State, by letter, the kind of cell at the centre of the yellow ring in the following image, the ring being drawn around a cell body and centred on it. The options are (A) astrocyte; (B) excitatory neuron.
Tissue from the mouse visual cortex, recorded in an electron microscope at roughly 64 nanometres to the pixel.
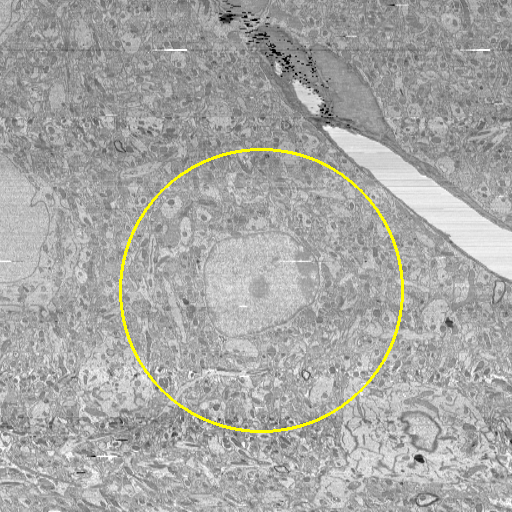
A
